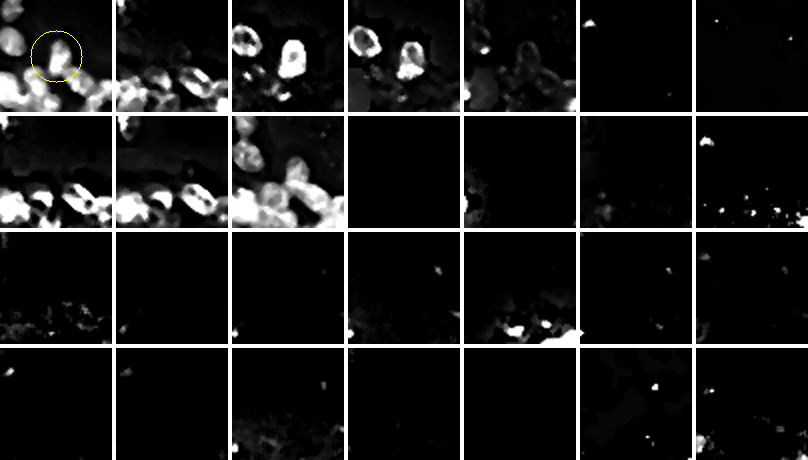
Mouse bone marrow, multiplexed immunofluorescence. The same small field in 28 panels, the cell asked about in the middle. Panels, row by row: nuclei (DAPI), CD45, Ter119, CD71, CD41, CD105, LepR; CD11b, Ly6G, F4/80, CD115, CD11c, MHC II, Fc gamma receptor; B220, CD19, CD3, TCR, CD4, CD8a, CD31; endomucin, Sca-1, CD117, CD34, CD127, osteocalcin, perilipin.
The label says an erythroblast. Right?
Right.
